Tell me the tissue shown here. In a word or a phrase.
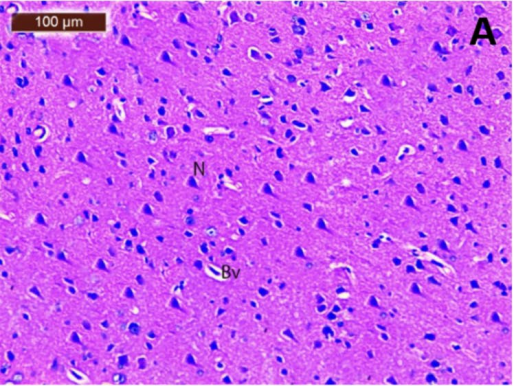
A: Brain tissue.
